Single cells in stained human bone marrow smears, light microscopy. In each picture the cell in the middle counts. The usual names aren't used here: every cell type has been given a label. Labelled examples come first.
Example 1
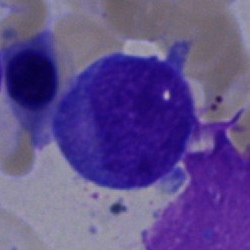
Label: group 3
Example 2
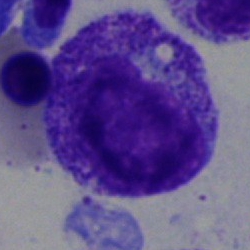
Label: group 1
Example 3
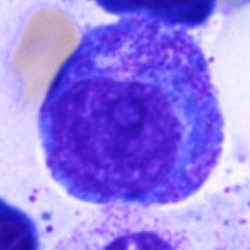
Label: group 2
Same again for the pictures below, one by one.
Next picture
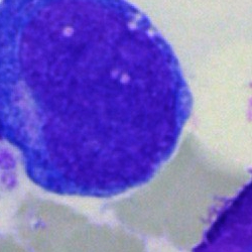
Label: group 3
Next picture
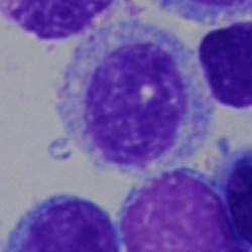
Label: group 1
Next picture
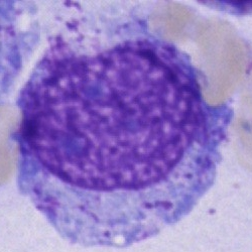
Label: group 2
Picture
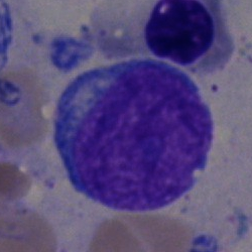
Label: group 3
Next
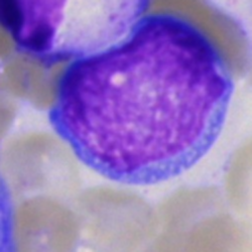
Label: group 3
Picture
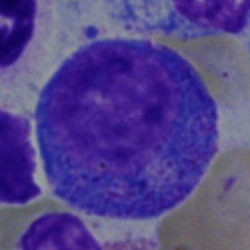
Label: group 2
